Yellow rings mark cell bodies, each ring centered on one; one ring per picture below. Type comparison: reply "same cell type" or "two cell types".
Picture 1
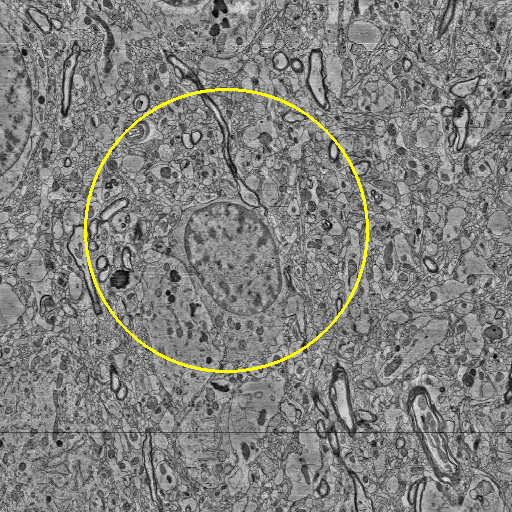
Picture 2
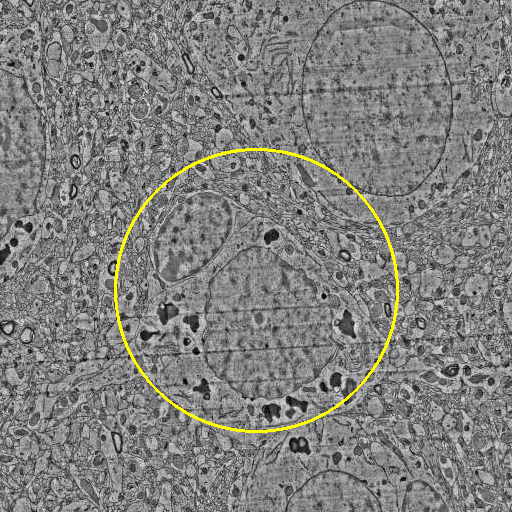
two cell types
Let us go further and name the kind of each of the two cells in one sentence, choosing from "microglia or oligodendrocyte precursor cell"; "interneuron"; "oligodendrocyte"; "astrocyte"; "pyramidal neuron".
The ring of the first picture is on an oligodendrocyte, the ring of the second on an interneuron.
